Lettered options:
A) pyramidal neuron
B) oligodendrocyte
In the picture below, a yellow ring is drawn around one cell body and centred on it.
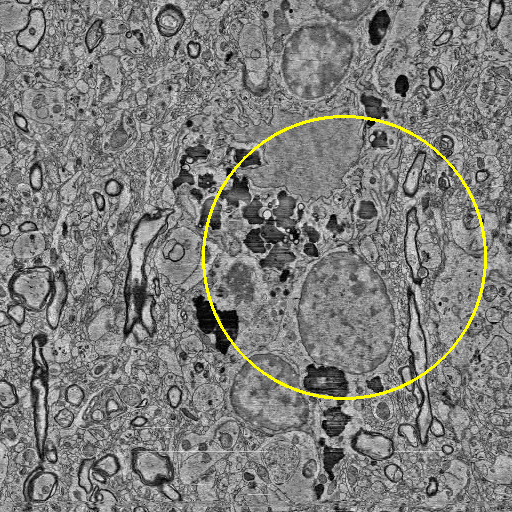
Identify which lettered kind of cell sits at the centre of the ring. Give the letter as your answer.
B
